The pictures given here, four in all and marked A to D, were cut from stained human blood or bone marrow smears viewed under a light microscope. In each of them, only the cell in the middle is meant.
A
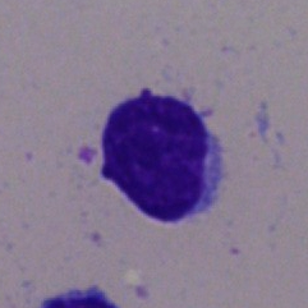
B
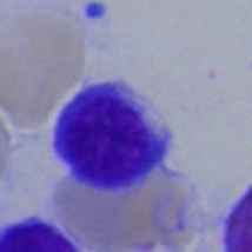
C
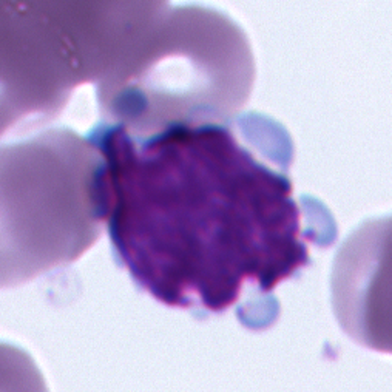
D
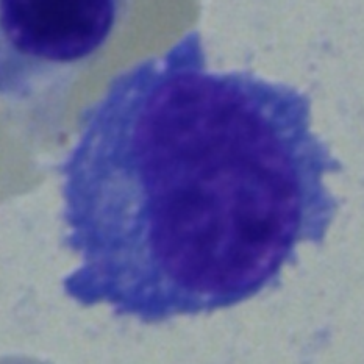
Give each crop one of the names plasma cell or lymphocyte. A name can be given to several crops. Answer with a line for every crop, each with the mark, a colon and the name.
A: lymphocyte
B: lymphocyte
C: lymphocyte
D: plasma cell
